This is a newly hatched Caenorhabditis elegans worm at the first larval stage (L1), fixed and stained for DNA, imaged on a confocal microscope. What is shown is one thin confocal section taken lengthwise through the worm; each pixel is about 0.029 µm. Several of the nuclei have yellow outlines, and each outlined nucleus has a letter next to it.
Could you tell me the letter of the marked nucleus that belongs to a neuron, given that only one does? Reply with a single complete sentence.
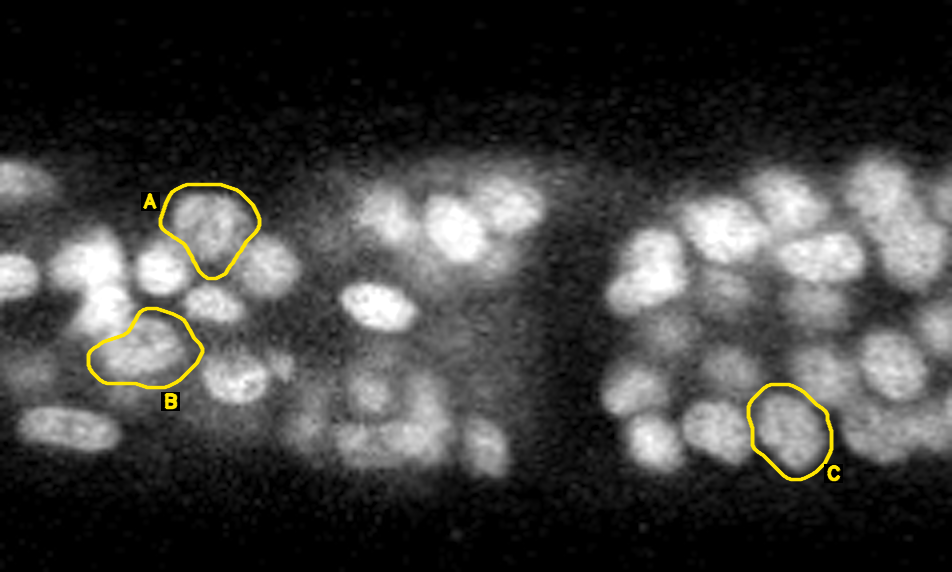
C is from a neuron.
